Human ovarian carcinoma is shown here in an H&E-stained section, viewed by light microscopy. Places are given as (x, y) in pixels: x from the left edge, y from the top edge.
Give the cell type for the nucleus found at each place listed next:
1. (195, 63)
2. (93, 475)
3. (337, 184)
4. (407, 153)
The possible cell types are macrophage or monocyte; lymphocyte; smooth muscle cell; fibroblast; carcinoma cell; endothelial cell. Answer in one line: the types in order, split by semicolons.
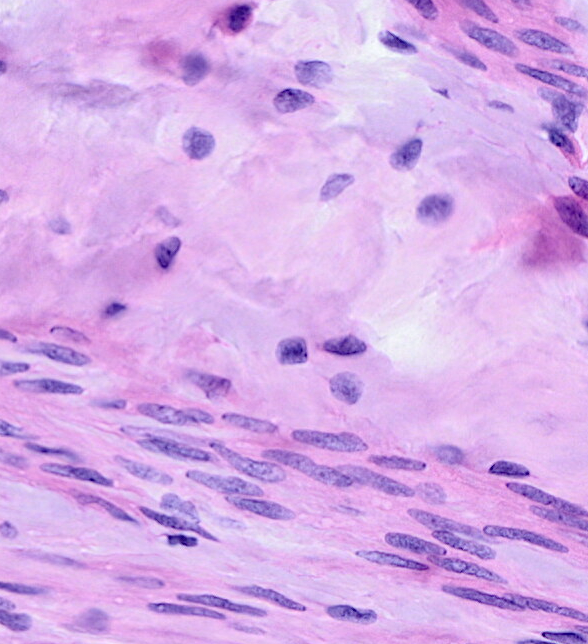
fibroblast; smooth muscle cell; fibroblast; fibroblast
